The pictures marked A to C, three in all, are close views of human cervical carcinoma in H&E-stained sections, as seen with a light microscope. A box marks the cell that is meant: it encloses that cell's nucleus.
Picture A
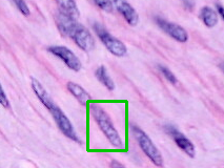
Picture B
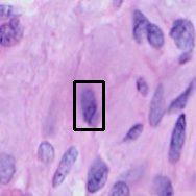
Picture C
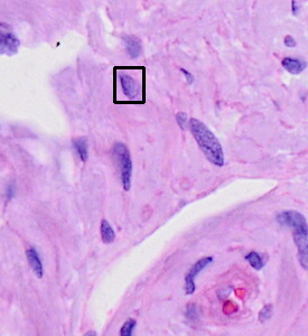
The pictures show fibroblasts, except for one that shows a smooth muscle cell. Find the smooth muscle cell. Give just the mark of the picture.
A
